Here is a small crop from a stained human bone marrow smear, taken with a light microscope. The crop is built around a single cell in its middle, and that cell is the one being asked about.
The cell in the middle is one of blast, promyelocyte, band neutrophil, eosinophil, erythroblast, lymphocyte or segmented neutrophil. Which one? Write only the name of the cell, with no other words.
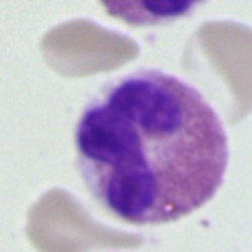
eosinophil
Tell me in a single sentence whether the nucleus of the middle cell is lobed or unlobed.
What stands out is the nucleus, split into two or more lobes.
